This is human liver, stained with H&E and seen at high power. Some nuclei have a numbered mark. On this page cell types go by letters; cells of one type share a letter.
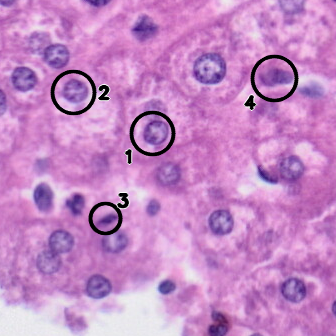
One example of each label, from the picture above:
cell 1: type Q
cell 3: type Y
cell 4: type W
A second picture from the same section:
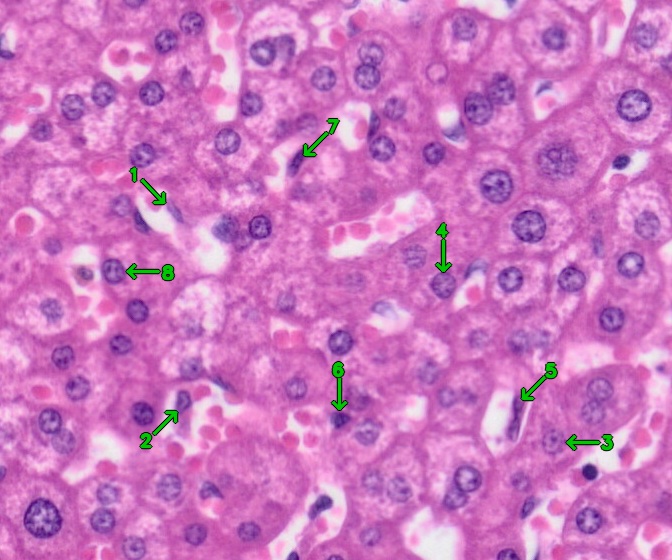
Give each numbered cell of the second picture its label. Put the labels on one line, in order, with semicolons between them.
type W; type W; type Q; type Q; type W; type Y; type W; type Q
